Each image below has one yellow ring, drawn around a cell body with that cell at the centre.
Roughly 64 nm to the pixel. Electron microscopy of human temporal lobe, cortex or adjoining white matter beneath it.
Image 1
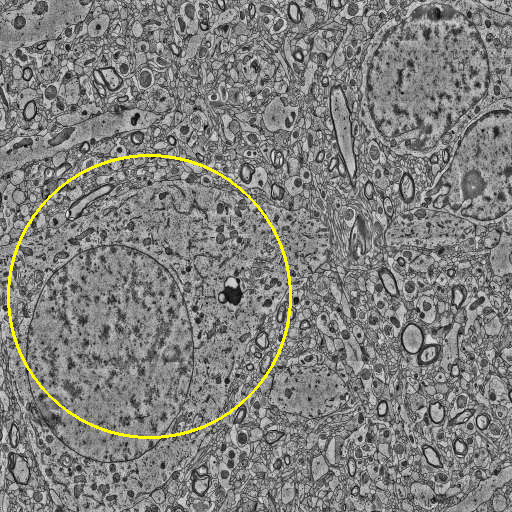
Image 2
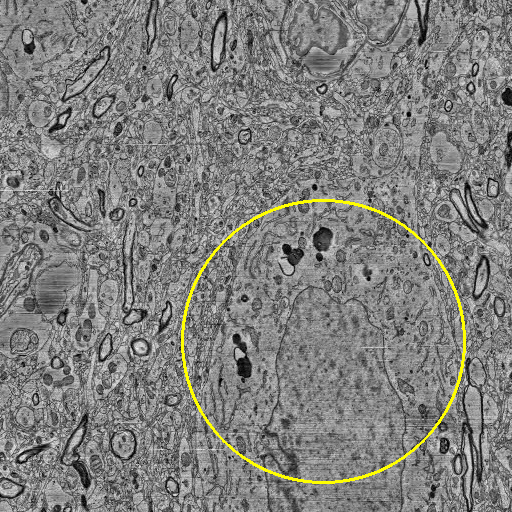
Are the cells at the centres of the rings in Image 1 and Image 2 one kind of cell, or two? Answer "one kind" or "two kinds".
one kind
